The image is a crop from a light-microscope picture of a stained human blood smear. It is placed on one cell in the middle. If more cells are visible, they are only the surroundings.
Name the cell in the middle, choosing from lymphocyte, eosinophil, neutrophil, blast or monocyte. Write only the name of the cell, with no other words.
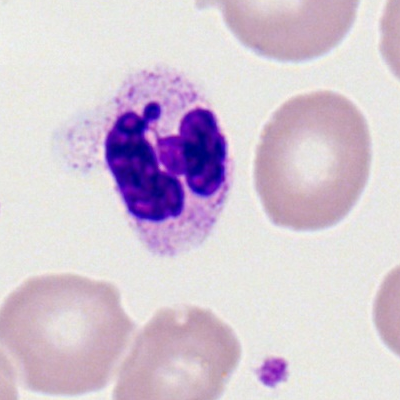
neutrophil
